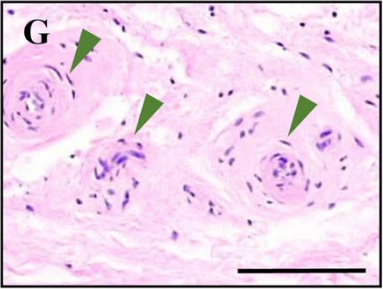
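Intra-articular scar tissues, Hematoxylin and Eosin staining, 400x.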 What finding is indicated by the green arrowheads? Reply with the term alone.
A: Vascular proliferation.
